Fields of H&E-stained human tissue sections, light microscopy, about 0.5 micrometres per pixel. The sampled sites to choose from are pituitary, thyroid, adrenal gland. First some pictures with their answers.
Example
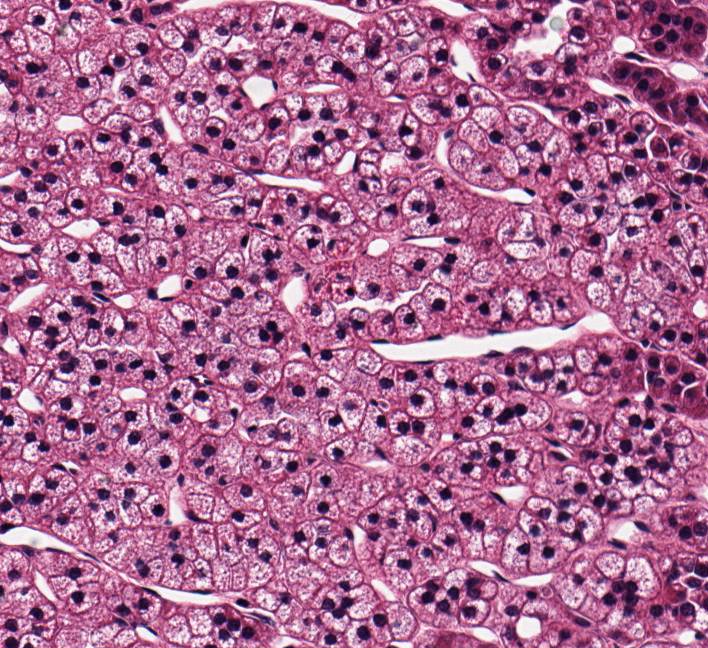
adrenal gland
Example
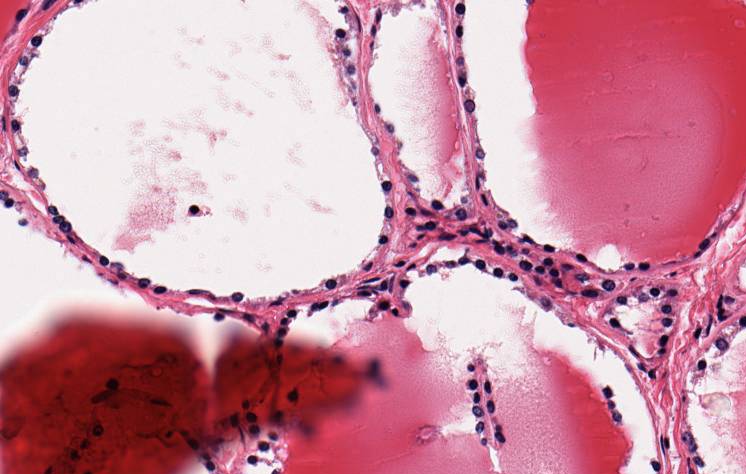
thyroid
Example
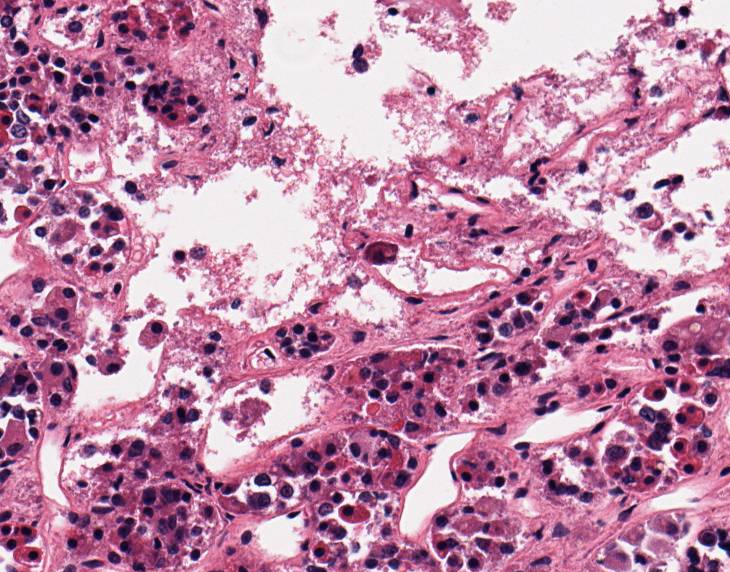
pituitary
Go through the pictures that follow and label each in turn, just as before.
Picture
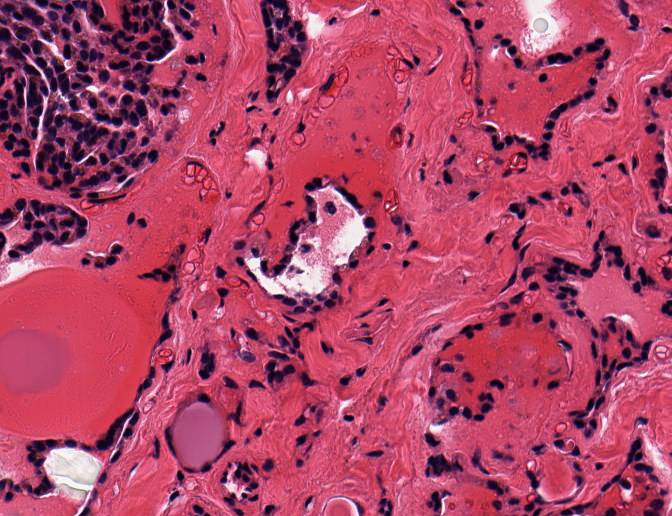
thyroid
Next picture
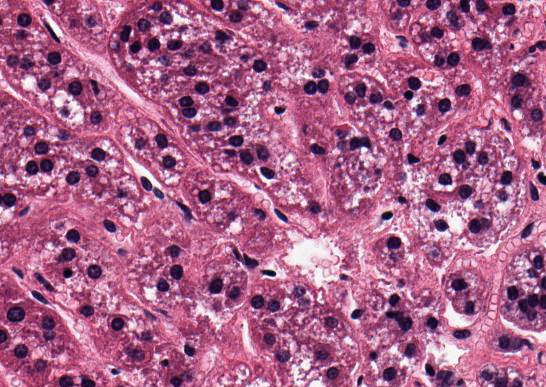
adrenal gland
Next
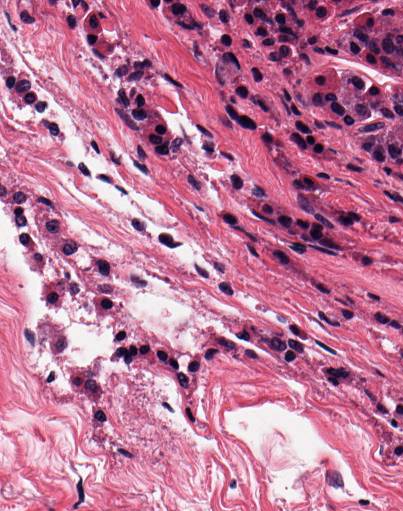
pituitary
